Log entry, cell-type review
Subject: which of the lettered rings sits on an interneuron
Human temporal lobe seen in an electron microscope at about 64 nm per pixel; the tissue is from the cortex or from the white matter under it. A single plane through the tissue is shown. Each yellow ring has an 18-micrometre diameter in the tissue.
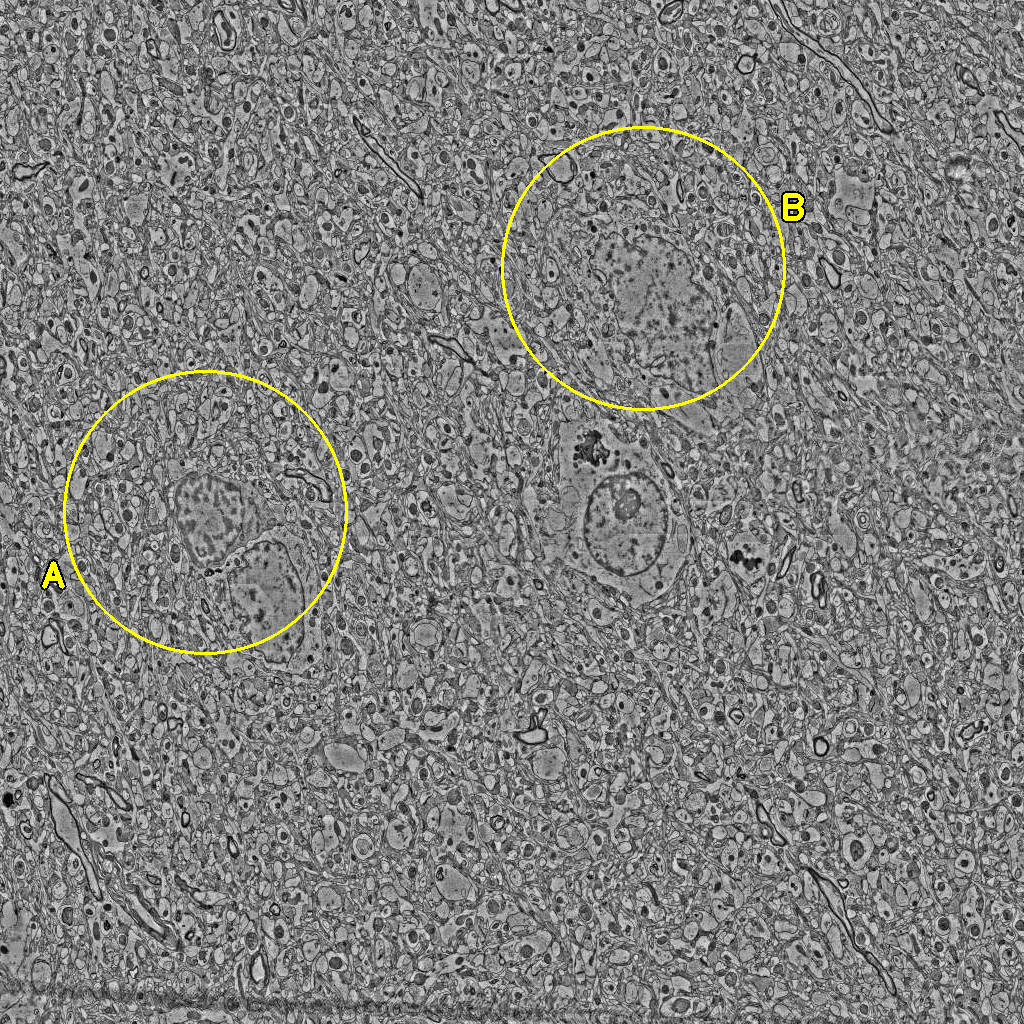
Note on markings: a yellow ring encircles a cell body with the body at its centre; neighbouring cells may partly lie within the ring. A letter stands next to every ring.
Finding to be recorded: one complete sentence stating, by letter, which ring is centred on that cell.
The cell sits at the centre of ring B.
